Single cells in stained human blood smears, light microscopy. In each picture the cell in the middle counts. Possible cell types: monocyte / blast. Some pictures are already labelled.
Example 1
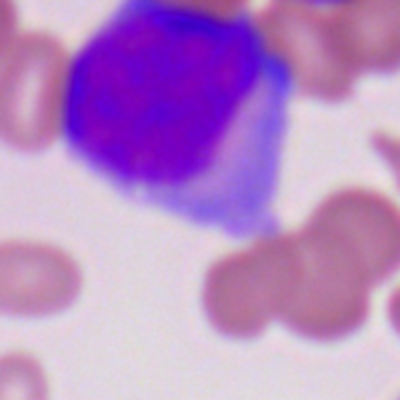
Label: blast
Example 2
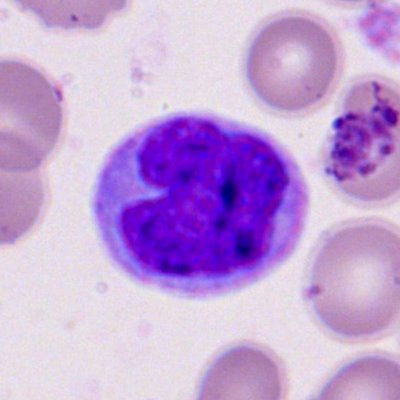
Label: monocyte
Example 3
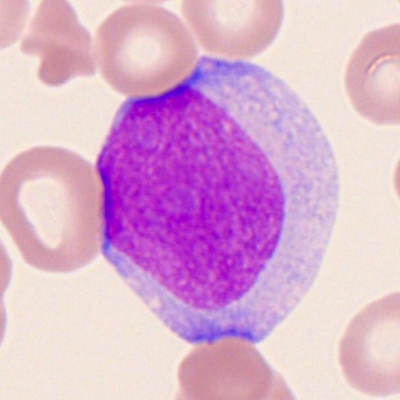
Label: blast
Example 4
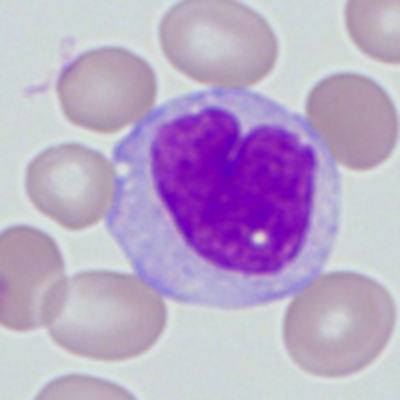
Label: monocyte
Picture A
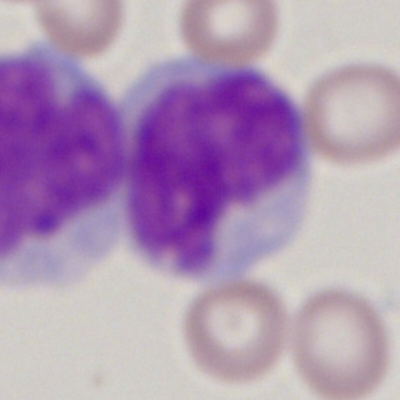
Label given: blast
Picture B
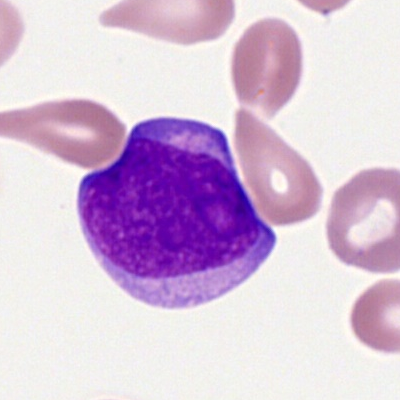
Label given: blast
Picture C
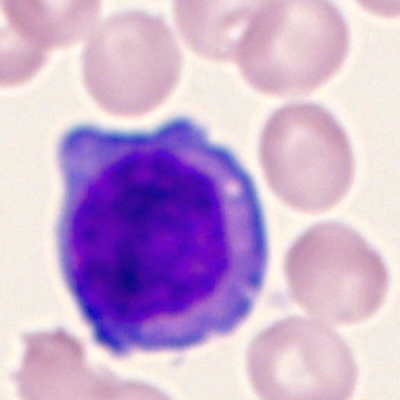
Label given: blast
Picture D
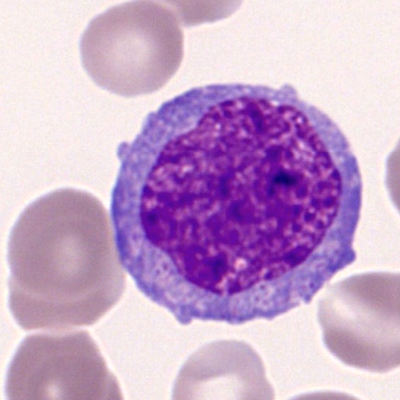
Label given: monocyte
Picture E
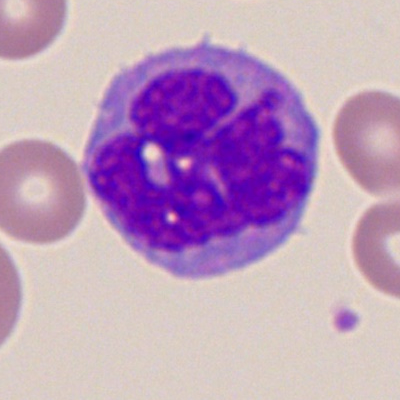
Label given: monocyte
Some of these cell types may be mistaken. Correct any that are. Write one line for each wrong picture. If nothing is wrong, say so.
A should be monocyte, not blast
